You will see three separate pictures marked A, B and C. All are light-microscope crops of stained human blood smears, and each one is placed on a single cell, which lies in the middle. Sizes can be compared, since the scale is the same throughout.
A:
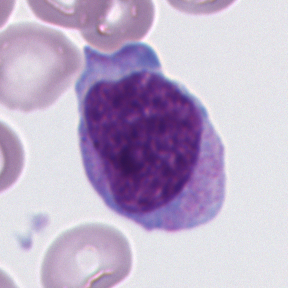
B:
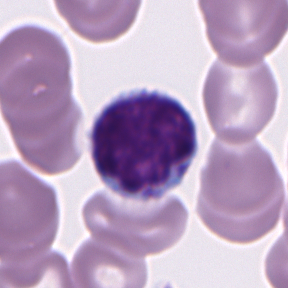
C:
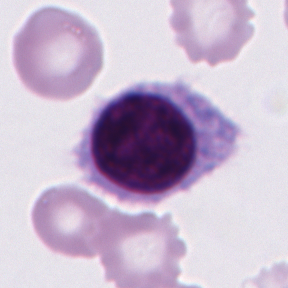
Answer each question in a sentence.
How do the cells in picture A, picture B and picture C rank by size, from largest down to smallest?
Going down, they run A, C, B.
